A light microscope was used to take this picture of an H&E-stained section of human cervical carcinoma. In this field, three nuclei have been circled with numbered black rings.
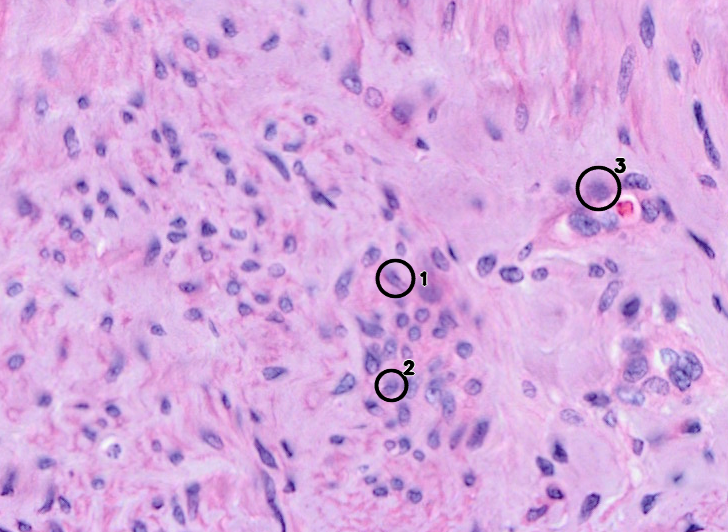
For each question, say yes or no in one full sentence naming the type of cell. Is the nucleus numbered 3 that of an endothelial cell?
Yes, the cell with the mark numbered 3 is an endothelial cell.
